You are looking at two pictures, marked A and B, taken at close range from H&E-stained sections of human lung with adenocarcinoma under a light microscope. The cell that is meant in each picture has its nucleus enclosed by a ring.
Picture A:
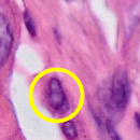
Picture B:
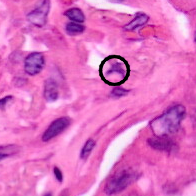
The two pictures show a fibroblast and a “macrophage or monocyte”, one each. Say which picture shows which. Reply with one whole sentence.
It is picture A that shows a “macrophage or monocyte”, and picture B that shows a fibroblast.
